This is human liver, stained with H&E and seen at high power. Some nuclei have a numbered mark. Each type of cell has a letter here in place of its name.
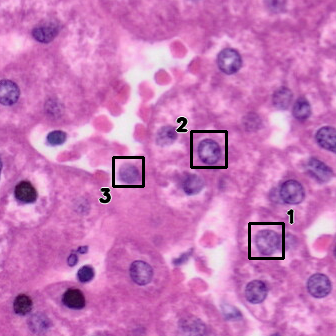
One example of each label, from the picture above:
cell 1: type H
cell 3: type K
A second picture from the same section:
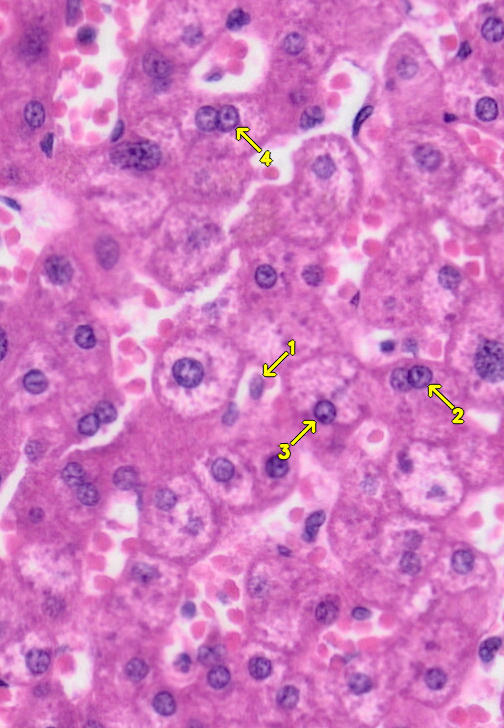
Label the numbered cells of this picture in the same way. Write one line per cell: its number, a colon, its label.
1: type K
2: type H
3: type H
4: type H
